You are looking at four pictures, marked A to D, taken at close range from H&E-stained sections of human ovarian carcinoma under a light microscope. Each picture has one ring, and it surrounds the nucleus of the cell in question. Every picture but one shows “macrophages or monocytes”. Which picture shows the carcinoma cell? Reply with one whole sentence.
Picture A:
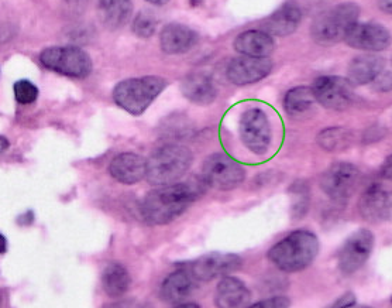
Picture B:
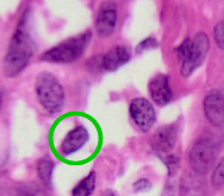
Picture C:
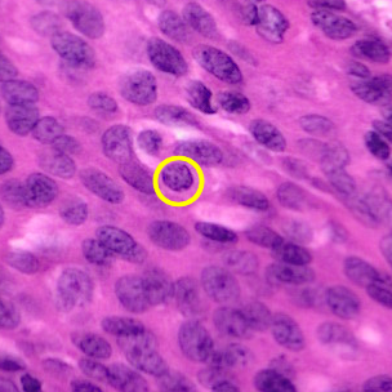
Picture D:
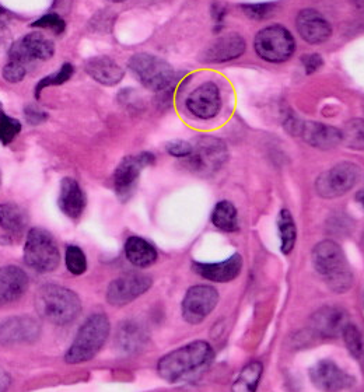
Picture B shows the carcinoma cell.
